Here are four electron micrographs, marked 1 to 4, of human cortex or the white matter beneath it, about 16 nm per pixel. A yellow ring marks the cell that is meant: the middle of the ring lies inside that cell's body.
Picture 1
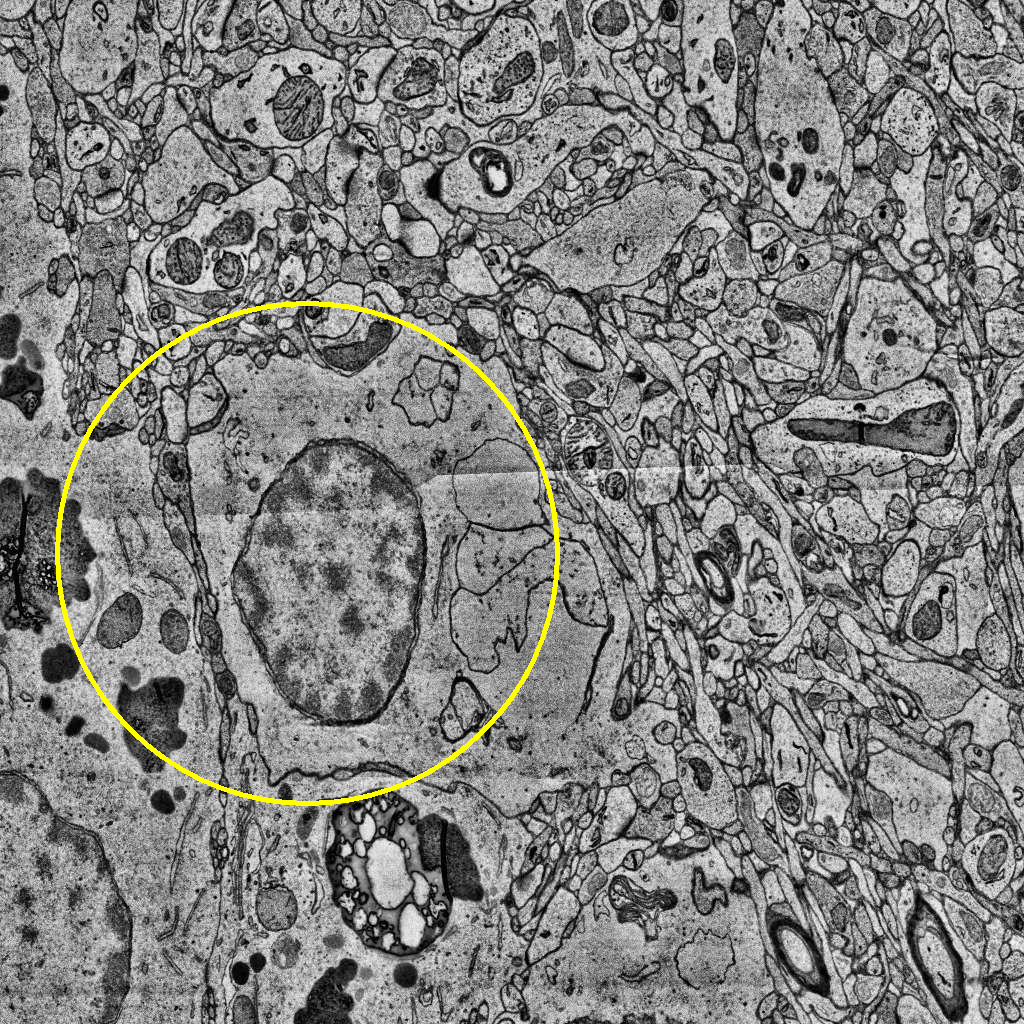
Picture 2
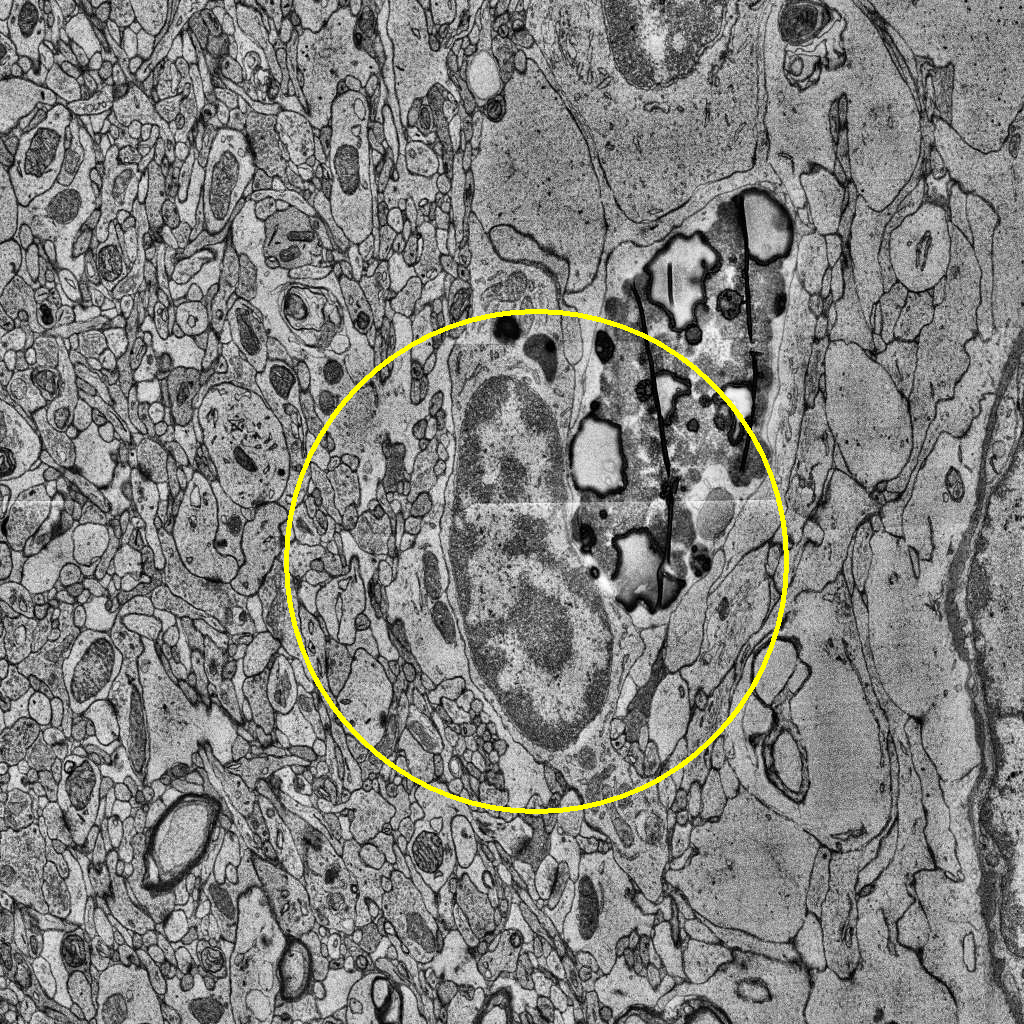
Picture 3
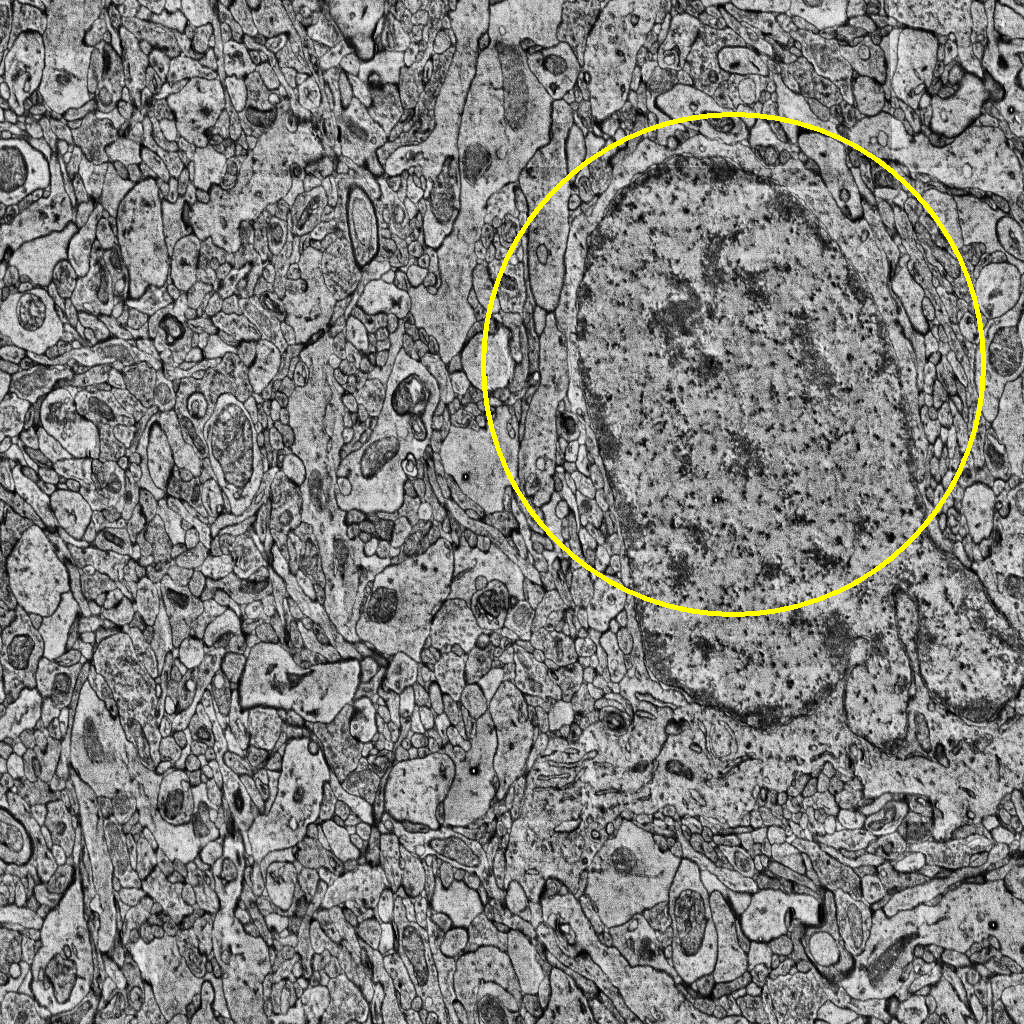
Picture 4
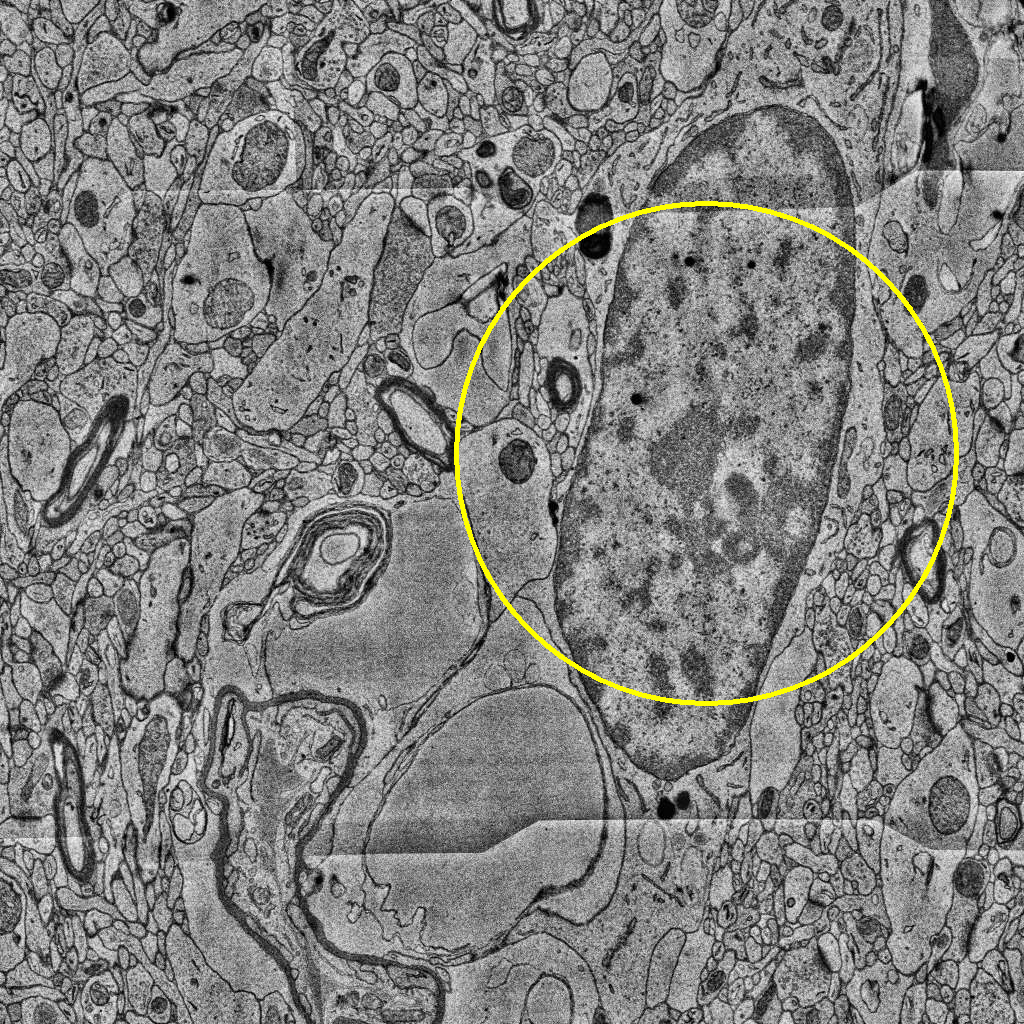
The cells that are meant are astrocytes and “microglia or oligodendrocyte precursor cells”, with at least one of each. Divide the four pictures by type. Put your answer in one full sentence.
Picture 1 shows an astrocyte; pictures 2, 3 and 4 show “microglia or oligodendrocyte precursor cells”.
